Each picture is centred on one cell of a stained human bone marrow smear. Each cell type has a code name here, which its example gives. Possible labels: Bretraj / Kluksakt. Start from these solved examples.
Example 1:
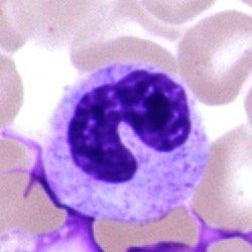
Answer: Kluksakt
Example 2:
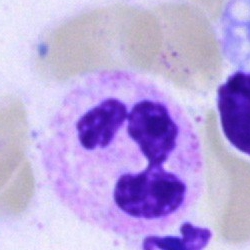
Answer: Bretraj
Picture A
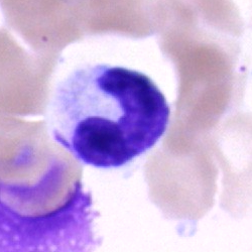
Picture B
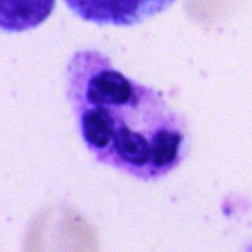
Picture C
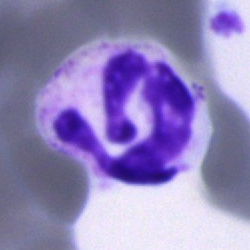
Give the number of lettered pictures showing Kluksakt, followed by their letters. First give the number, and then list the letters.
Count: 1 (A)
